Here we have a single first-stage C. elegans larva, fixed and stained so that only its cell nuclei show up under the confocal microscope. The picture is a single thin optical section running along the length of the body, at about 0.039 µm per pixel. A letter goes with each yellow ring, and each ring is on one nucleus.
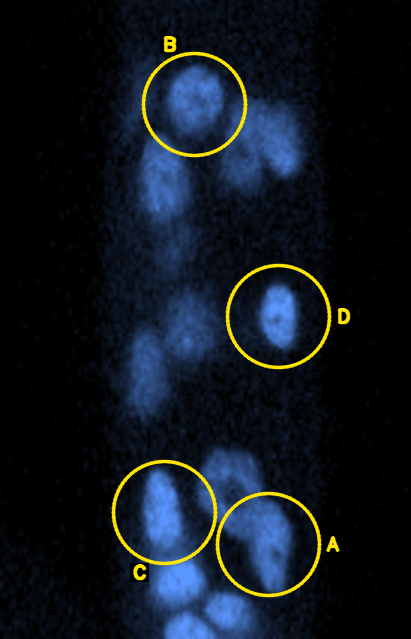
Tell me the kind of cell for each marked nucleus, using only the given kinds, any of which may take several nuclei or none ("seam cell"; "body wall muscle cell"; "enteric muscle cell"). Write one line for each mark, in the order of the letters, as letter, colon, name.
A: body wall muscle cell
B: seam cell
C: enteric muscle cell
D: body wall muscle cell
